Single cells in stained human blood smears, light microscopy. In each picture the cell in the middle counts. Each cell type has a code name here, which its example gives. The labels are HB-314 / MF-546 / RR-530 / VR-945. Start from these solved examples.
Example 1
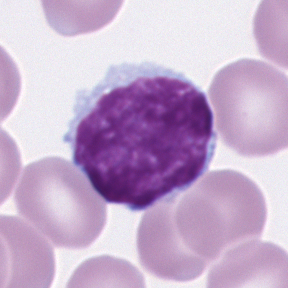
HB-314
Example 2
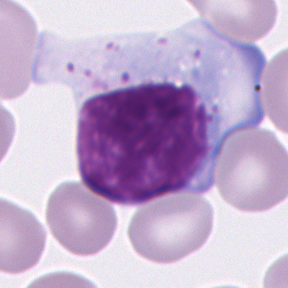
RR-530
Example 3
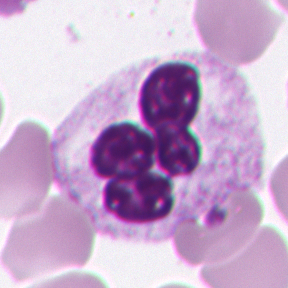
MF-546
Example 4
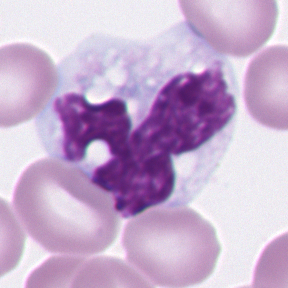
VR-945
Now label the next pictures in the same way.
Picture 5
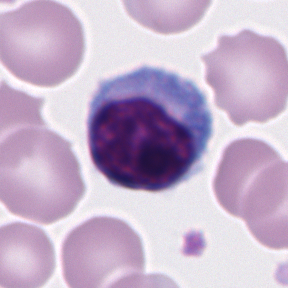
HB-314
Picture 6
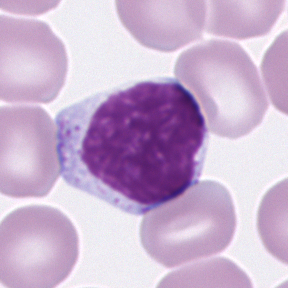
RR-530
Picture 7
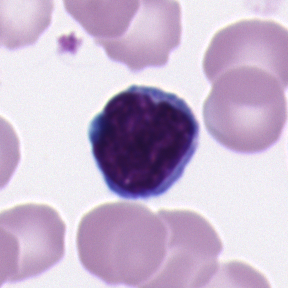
HB-314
